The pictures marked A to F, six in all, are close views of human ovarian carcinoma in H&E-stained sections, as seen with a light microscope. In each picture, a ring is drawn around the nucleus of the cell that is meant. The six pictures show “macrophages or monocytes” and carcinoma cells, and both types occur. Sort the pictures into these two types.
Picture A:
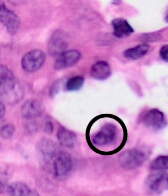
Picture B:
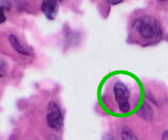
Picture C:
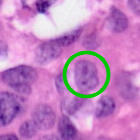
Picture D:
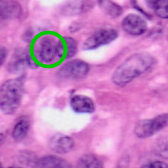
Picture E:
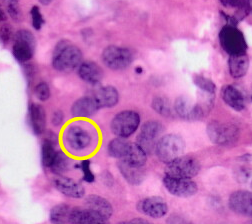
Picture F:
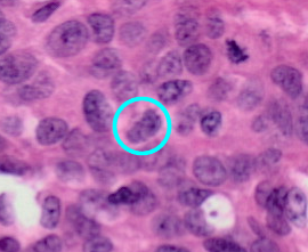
A: macrophage or monocyte
B: macrophage or monocyte
C: carcinoma cell
D: carcinoma cell
E: macrophage or monocyte
F: macrophage or monocyte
